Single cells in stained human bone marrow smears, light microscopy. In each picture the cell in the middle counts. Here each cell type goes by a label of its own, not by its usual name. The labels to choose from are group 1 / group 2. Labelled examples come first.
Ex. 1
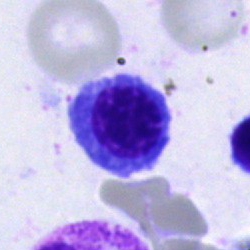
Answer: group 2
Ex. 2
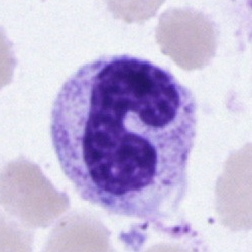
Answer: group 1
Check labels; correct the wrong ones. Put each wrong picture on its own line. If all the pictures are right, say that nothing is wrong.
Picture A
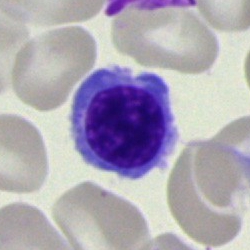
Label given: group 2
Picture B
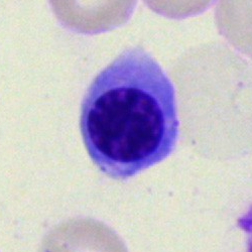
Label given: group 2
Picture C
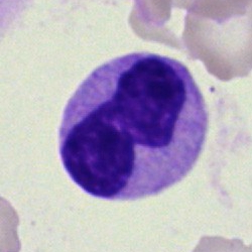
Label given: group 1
No label is wrong.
